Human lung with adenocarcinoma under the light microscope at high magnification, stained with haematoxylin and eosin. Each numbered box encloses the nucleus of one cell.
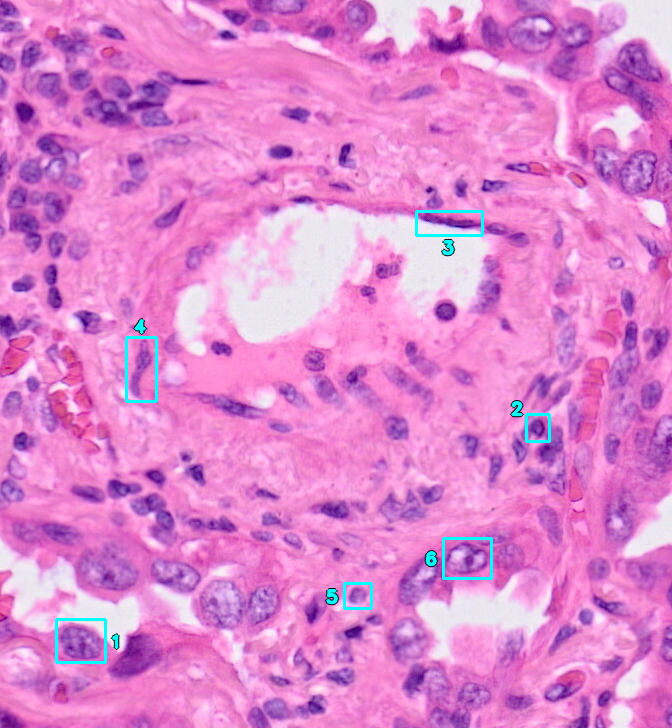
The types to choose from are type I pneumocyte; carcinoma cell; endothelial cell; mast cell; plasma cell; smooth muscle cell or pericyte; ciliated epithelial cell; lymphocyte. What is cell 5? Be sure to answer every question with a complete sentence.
The one labeled 5 is a lymphocyte, to put it simply.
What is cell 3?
The cell indicated by marker 3 is an endothelial cell in this section.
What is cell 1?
In the marked set, the cell given number 1 is a carcinoma cell.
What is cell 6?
Heads up, the cell numbered 6 is a carcinoma cell.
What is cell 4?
Nucleus 4 in this section belongs to a smooth muscle cell or pericyte.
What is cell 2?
Cell 2, among those numbered, is a plasma cell.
